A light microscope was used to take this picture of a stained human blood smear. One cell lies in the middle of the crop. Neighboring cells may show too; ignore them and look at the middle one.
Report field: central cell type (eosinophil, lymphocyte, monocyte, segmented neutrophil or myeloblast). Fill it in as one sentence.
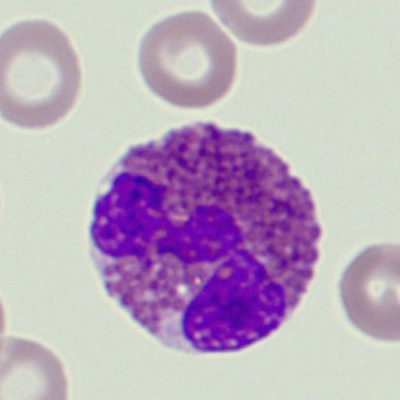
The centrally located cell in the crop is an eosinophil.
